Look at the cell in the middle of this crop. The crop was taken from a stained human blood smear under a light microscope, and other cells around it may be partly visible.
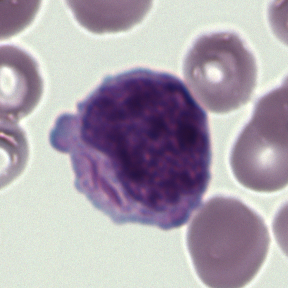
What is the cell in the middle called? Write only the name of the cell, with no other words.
atypical promyelocyte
